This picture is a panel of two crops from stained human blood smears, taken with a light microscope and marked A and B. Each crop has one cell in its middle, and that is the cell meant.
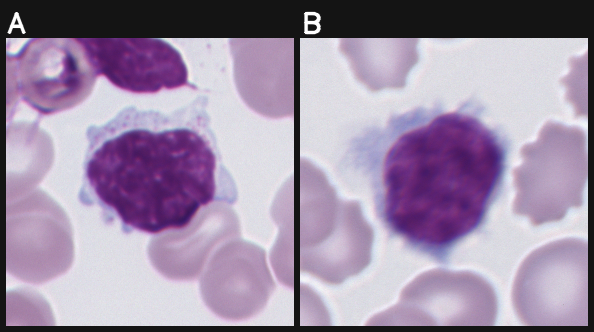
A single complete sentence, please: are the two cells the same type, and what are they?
No, in fact crop A shows a large granular lymphocyte, and crop B shows a hairy cell.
